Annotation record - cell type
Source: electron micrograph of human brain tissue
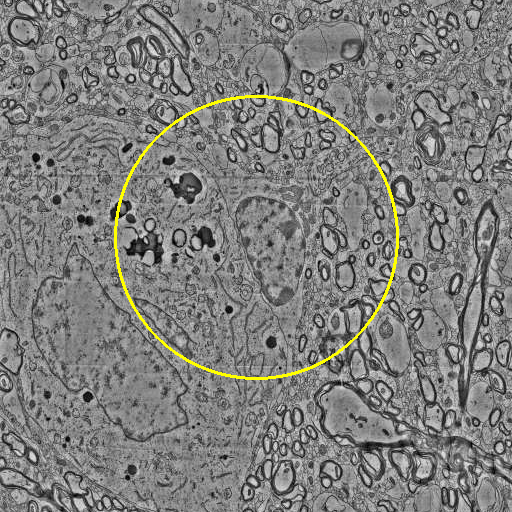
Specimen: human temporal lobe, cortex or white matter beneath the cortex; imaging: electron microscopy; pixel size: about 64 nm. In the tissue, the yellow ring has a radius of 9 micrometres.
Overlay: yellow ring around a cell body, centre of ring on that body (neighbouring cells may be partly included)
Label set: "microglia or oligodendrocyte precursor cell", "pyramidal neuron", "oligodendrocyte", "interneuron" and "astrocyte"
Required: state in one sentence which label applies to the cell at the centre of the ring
This cell should be labelled as a microglial cell or oligodendrocyte precursor cell.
